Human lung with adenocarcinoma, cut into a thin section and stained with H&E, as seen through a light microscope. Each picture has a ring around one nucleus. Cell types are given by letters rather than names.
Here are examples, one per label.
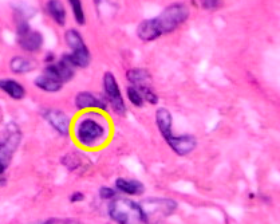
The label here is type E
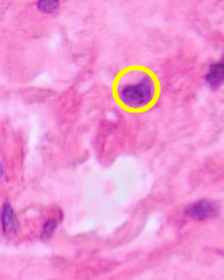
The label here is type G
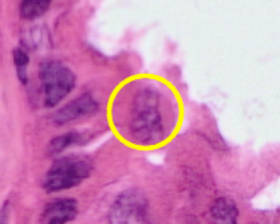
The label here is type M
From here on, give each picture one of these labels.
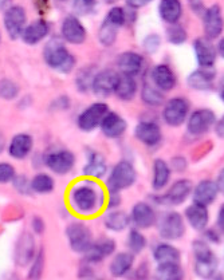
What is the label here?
type E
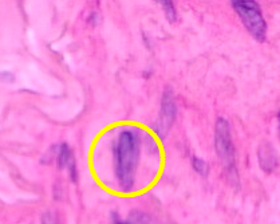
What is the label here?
type G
